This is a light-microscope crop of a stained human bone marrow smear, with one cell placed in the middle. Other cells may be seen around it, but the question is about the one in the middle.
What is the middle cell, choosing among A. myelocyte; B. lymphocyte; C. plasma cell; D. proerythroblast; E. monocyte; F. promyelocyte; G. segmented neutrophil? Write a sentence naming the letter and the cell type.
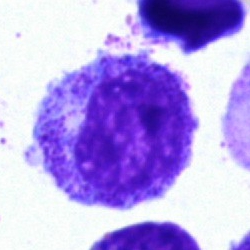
The central cell of the crop is a myelocyte, which makes A the correct option.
